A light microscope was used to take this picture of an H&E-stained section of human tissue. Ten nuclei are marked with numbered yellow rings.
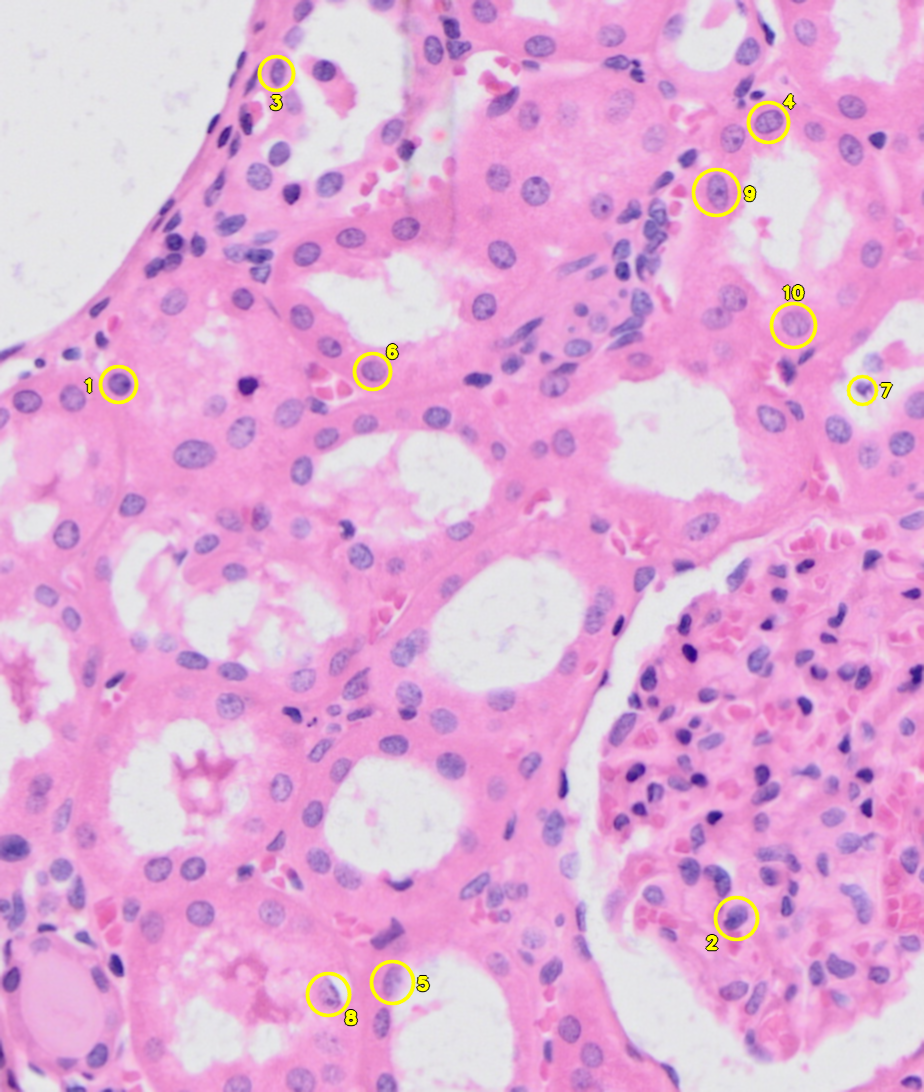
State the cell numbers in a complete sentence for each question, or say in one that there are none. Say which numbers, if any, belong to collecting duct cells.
Cell 3 is a collecting duct cell, while every other numbered cell is not.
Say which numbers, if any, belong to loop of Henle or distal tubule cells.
The numbers 5 and 7 refer to cells that are loop of Henle or distal tubule cells.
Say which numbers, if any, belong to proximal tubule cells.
Marked by the numbers 1, 4, 6, 8, 9 and 10 are cells that are proximal tubule cells.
